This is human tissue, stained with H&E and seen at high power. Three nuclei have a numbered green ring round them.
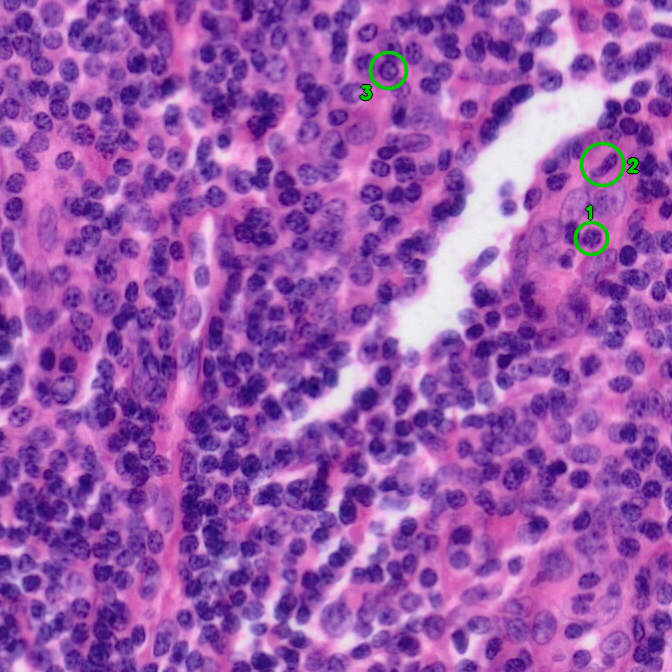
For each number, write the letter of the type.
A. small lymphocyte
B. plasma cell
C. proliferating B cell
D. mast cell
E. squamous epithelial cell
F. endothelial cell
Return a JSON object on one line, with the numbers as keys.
{"1": "F", "2": "F", "3": "B"}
